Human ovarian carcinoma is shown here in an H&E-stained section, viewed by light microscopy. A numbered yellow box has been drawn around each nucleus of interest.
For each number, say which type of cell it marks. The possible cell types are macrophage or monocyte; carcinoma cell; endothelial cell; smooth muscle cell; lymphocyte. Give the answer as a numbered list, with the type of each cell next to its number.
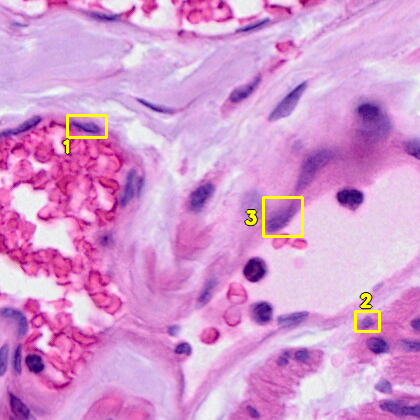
1. endothelial cell
2. smooth muscle cell
3. endothelial cell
